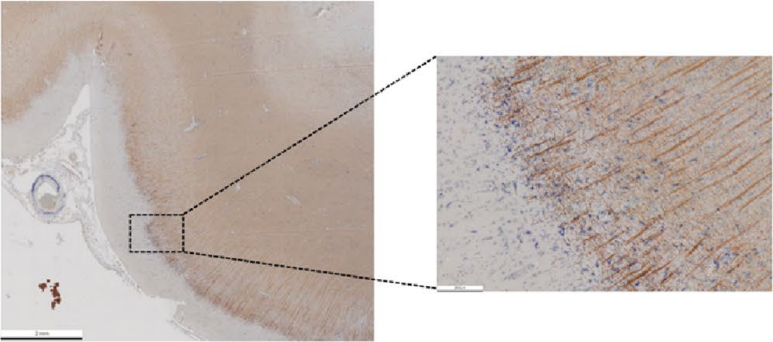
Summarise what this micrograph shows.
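Section of cerebral cortex and underlying white matter with a subpial lesion. At the lesion border, shown enlarged, brown radial fibre bundles run in parallel toward the surface and end abruptly; among and beyond them lie many small blue-stained nuclei, densest at the edge of the pale zone. A blood vessel cut in cross-section lies in the meninges beside the cortex.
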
